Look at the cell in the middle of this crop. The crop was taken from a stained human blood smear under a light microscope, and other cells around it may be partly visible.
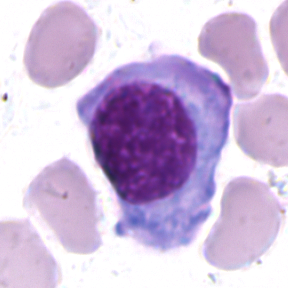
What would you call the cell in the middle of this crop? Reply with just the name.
plasma cell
